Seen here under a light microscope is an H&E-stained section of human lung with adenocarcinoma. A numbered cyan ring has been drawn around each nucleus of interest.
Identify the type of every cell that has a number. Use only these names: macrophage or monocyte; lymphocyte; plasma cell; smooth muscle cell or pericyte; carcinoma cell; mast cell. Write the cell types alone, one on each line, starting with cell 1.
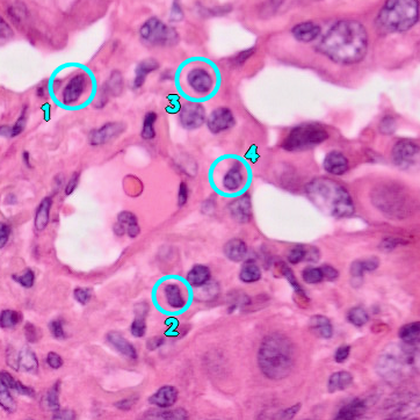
plasma cell
lymphocyte
lymphocyte
lymphocyte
